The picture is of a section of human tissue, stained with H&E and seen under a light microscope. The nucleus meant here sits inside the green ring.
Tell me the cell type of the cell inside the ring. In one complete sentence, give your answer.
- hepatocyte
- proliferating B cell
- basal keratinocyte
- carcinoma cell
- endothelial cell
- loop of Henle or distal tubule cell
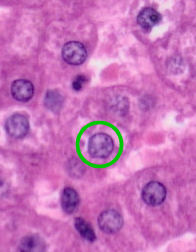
Labelled by cell type, the cell inside the ring is a hepatocyte.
